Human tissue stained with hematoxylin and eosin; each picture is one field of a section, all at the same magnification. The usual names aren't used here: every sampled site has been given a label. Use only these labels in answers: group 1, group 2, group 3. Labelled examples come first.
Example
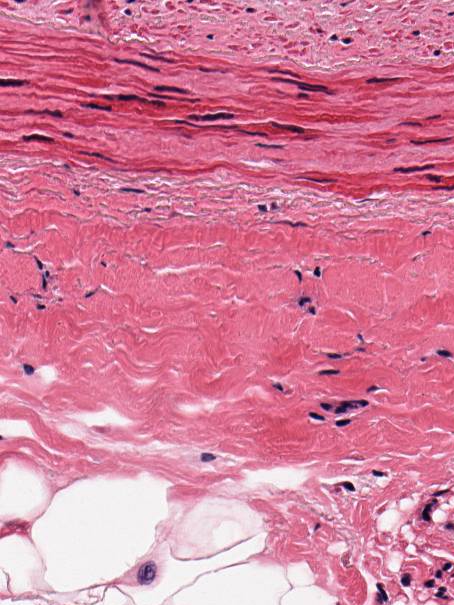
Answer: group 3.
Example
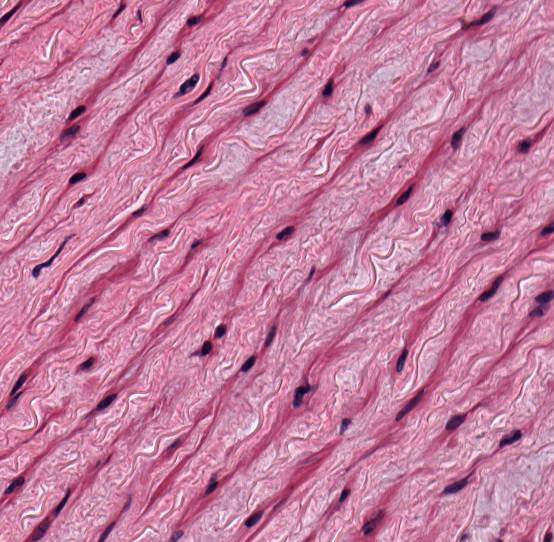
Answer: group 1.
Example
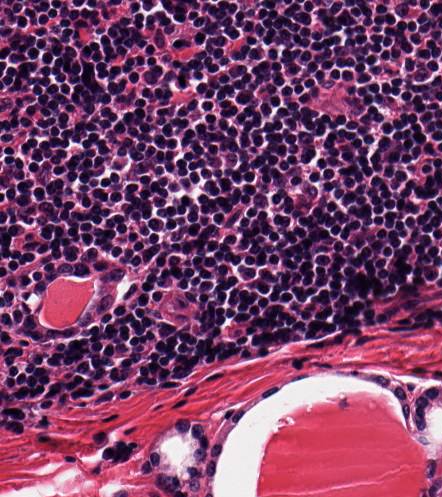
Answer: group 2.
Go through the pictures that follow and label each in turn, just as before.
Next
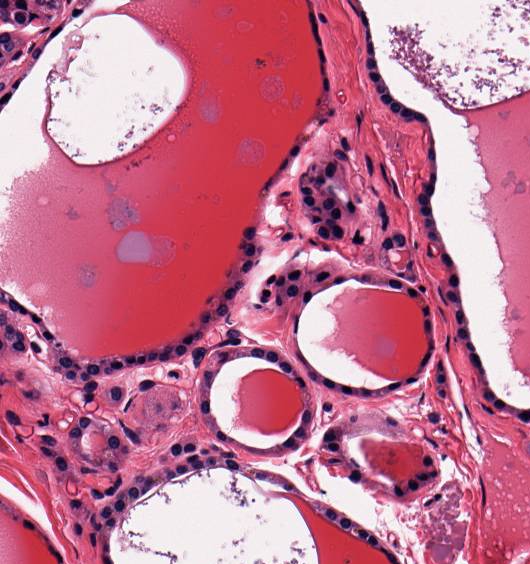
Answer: group 2.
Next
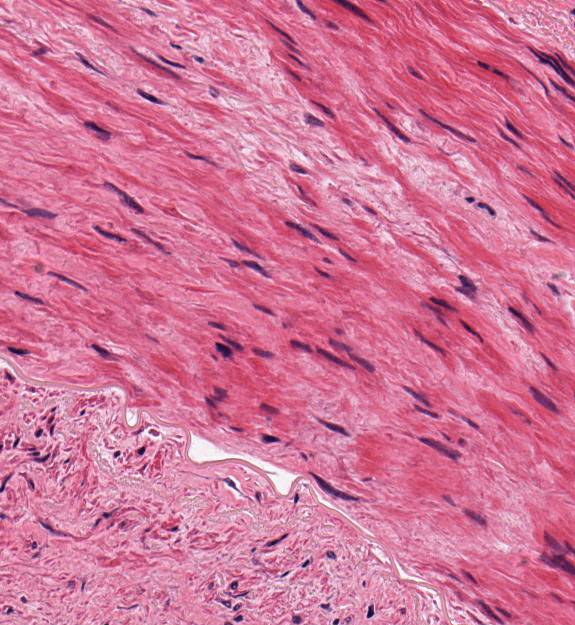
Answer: group 3.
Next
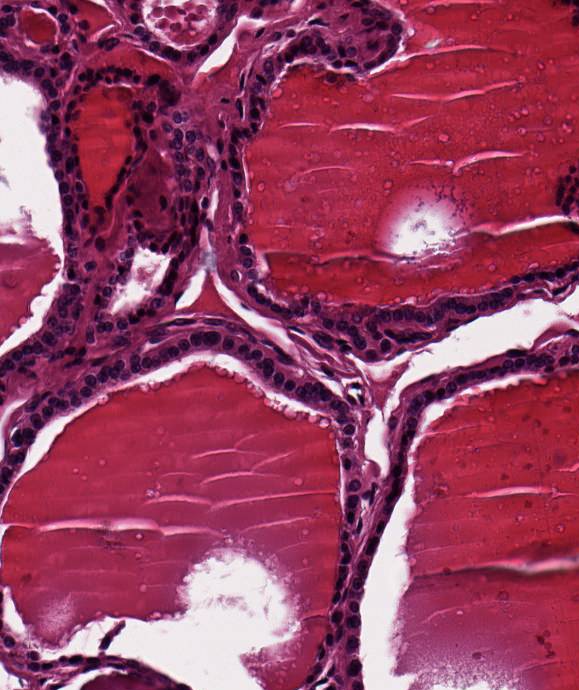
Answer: group 2.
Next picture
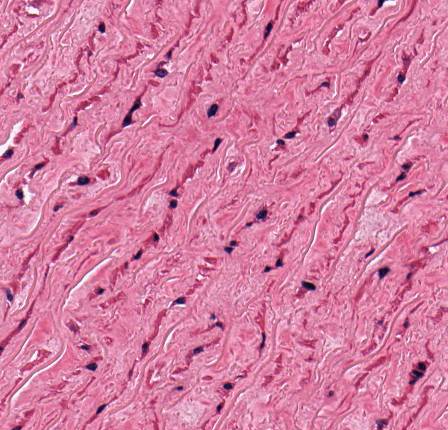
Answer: group 1.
